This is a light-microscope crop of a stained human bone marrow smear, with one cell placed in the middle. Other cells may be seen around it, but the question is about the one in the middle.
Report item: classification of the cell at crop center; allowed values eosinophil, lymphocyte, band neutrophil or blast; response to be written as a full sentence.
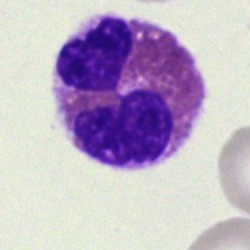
The cell at the middle of the frame should be recorded as an eosinophil.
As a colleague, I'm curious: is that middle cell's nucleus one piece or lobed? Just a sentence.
The nucleus here is split into two or more lobes, not one.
